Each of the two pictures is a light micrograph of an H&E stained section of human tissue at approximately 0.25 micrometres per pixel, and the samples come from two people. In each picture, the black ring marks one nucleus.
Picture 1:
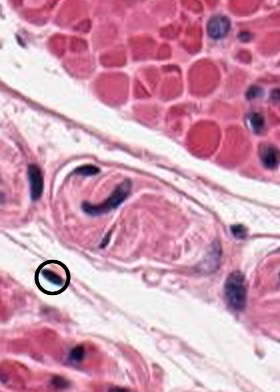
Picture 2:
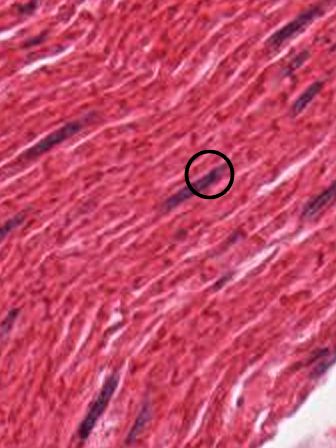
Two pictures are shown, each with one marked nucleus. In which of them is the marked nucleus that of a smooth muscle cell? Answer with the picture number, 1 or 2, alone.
2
